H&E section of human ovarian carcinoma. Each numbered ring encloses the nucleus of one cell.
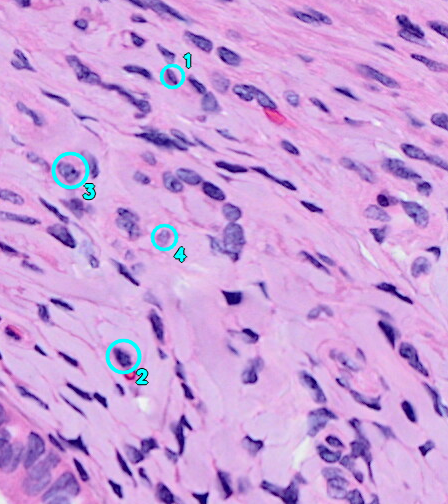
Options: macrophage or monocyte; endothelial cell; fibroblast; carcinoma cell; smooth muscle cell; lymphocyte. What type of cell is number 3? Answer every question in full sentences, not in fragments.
The cell that bears the number 3 is a smooth muscle cell.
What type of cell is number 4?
The cell pointed out by number 4 is a smooth muscle cell.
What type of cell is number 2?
That cell with number 2 is an endothelial cell.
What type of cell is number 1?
The identity of cell 1 is that of a smooth muscle cell.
